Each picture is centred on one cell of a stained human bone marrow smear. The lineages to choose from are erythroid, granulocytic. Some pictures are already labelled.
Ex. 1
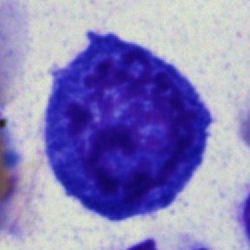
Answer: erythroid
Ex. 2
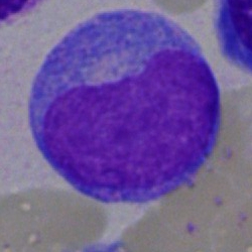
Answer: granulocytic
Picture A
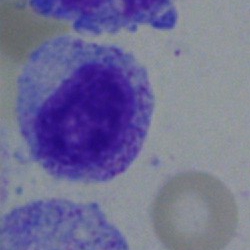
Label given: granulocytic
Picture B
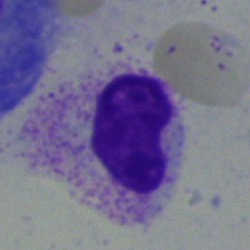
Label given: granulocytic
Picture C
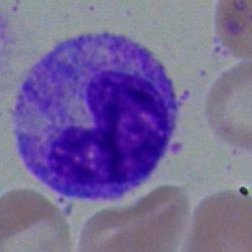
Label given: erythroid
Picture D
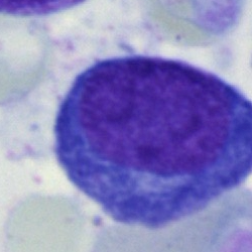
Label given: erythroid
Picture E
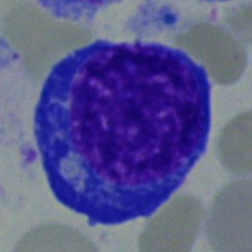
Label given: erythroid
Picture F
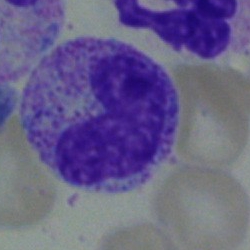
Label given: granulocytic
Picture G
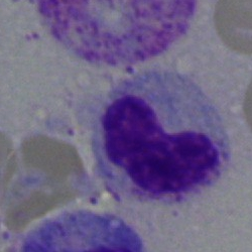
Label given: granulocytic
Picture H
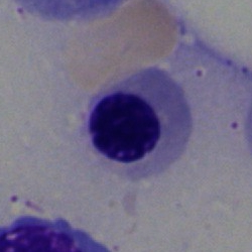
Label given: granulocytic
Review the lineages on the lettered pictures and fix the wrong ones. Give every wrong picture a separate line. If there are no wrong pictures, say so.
C: not erythroid but granulocytic
H: not granulocytic but erythroid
